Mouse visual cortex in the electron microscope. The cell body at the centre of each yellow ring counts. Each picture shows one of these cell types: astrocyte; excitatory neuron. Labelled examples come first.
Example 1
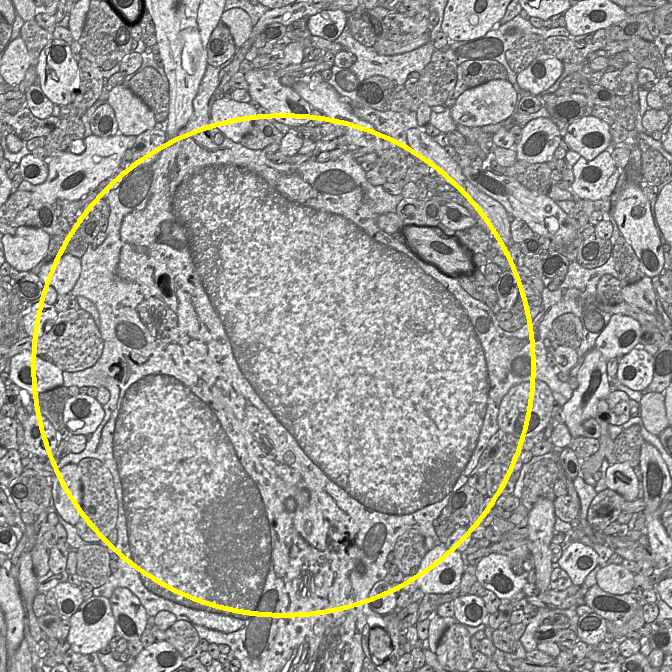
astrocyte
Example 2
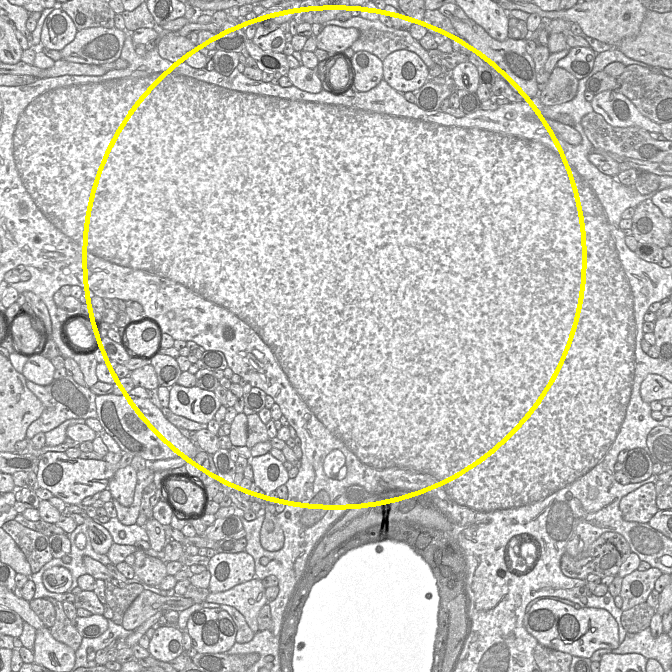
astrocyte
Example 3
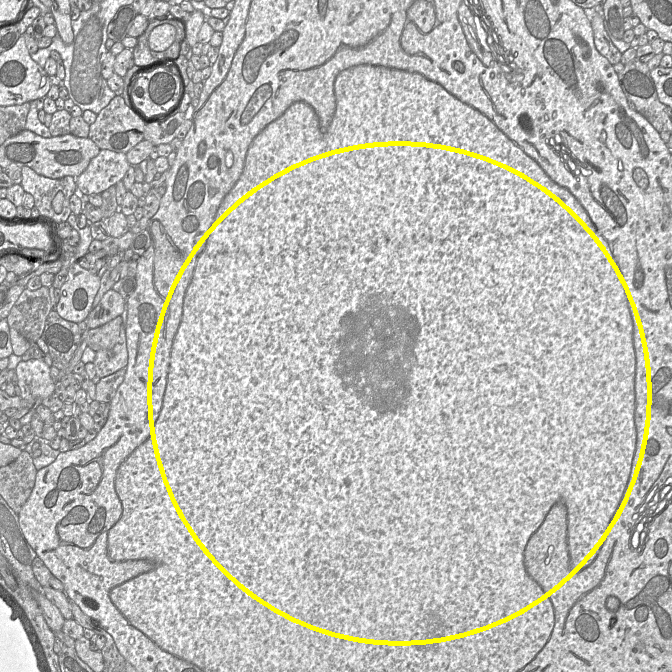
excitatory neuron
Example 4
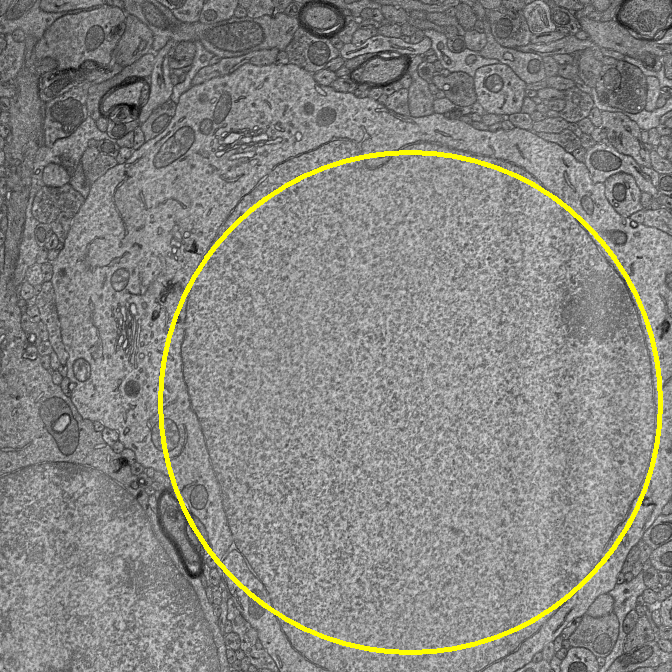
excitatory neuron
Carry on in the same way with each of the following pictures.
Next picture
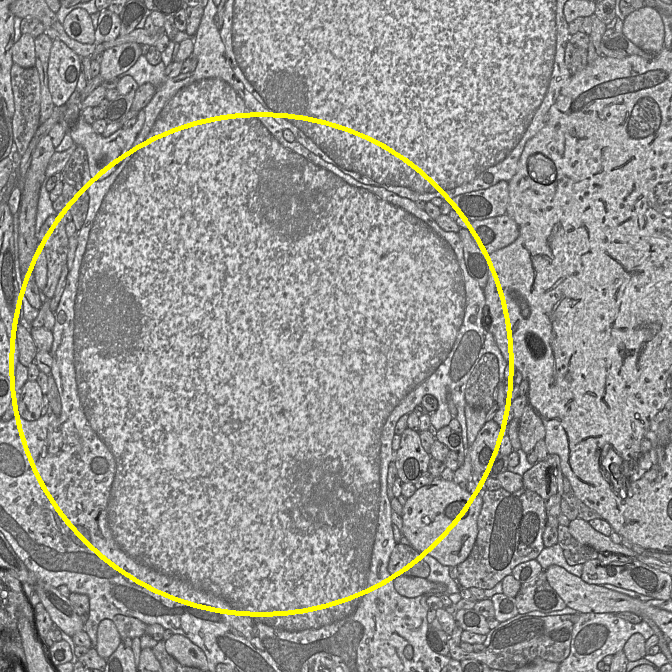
astrocyte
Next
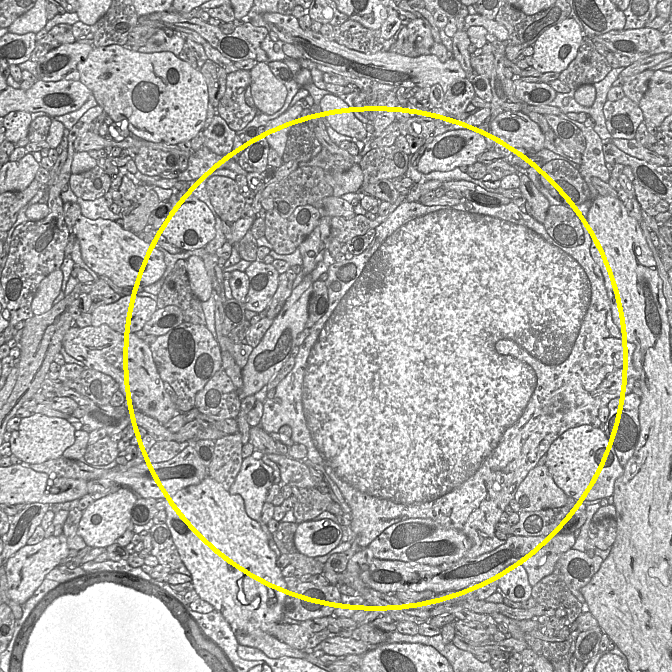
astrocyte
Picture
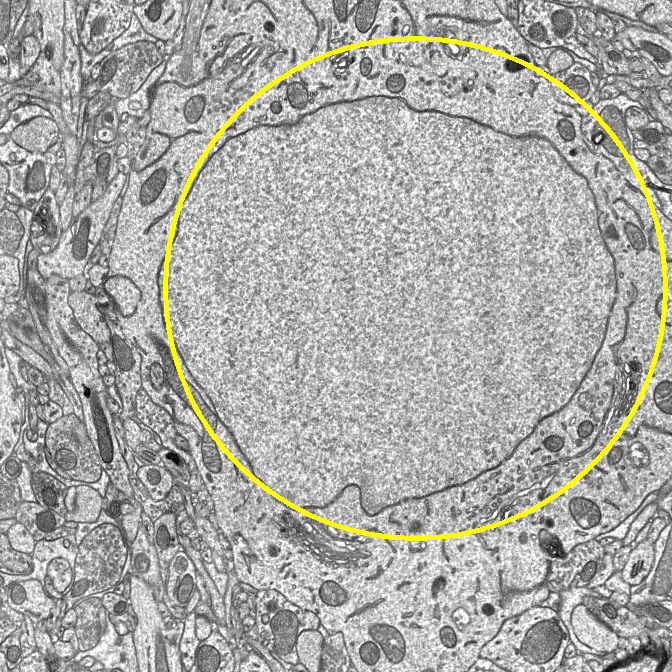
excitatory neuron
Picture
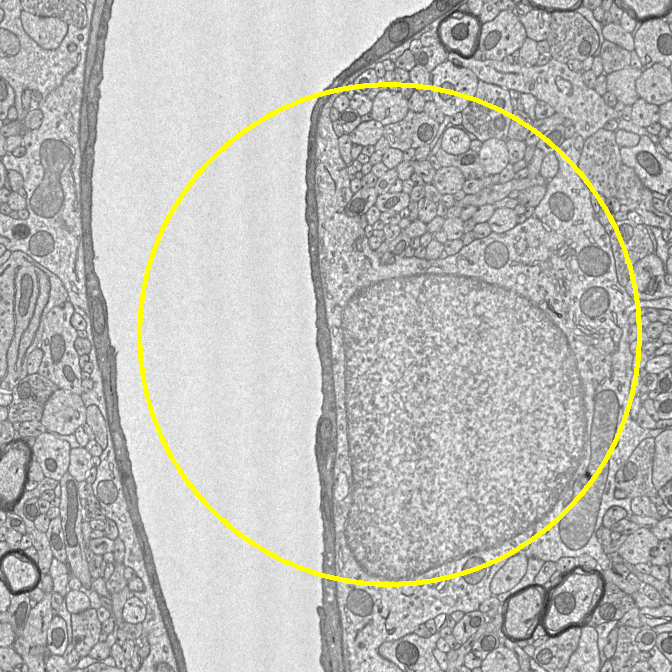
astrocyte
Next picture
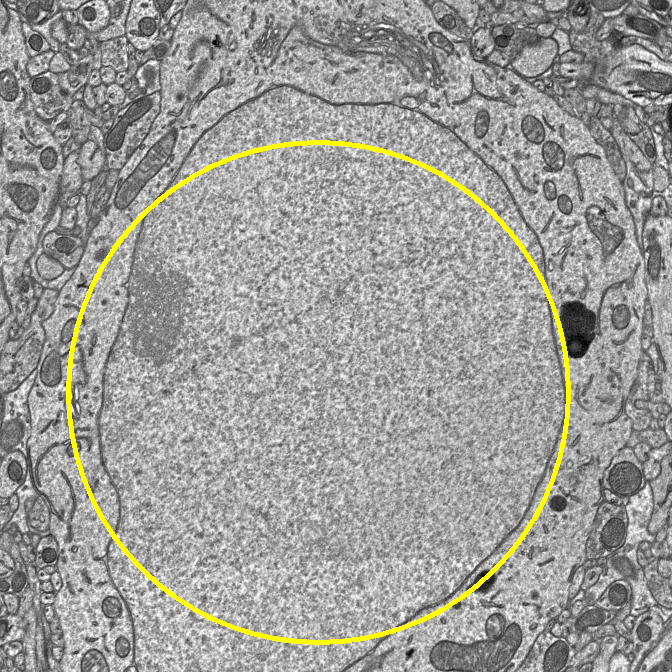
excitatory neuron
